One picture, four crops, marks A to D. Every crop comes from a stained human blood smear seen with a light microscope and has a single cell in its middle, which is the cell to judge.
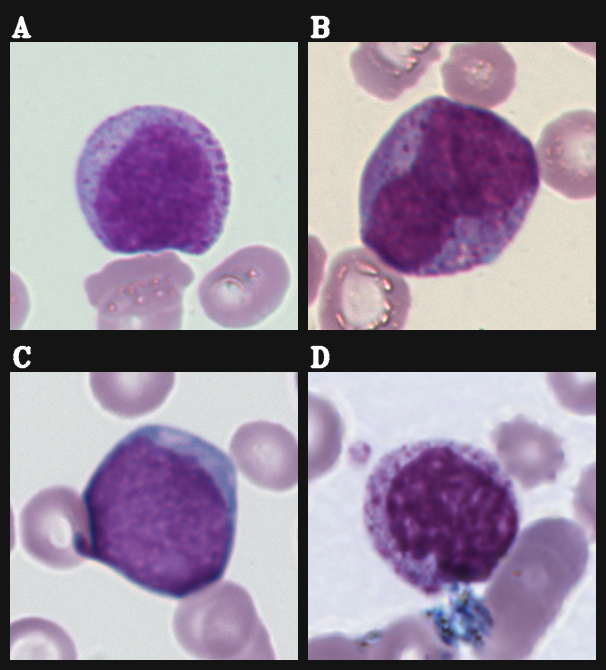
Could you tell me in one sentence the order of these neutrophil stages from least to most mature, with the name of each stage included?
Least to most mature, the crops are crop C (a blast), crop B (a promyelocyte), crop A (a myelocyte) and crop D (a metamyelocyte).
